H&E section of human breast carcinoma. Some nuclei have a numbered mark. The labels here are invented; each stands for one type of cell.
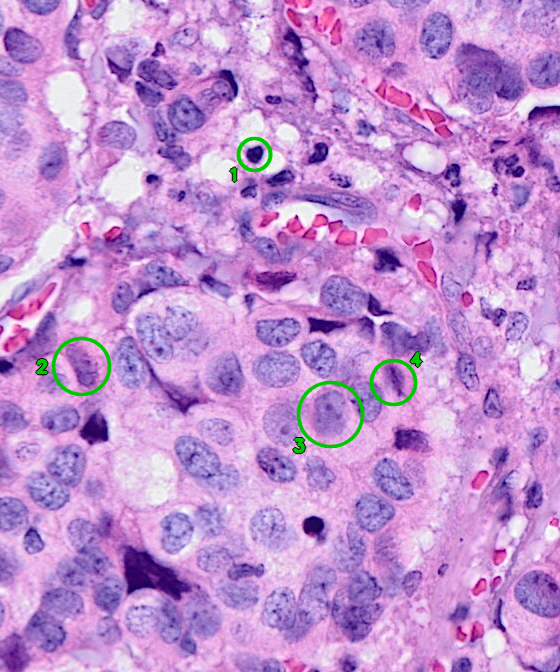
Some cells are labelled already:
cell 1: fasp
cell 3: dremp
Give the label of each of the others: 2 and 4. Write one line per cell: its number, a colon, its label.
2: dremp
4: dremp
